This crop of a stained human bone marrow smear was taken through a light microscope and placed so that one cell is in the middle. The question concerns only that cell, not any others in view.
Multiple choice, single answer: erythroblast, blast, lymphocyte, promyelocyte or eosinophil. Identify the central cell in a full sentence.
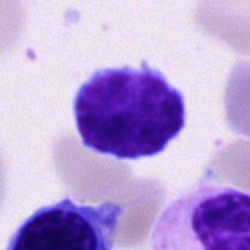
What sits at the centre of this crop is a lymphocyte.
